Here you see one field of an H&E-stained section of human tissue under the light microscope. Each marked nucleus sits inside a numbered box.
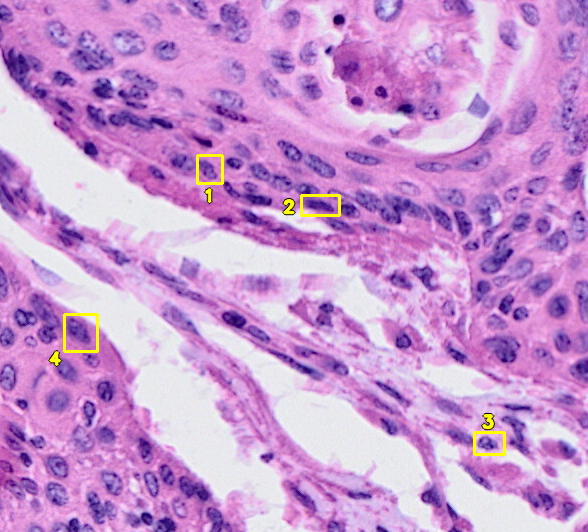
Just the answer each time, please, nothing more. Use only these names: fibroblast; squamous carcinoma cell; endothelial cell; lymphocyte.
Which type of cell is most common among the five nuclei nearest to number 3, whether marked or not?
fibroblast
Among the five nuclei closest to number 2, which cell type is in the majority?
squamous carcinoma cell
